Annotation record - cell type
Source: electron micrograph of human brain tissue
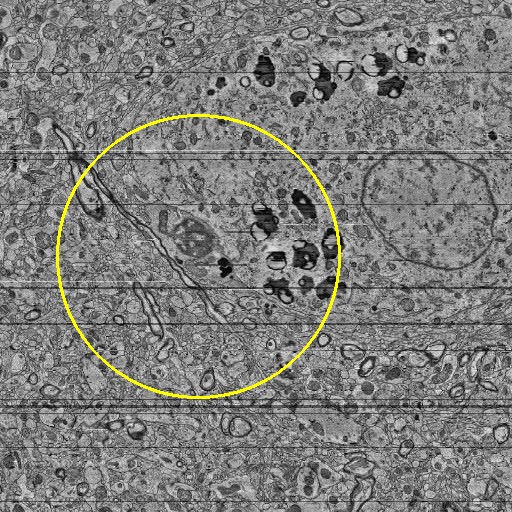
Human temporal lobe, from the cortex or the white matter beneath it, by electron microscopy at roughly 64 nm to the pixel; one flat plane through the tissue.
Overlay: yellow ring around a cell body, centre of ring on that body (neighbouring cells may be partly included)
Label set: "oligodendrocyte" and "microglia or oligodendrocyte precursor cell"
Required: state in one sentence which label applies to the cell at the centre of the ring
This cell should be labelled as an oligodendrocyte.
